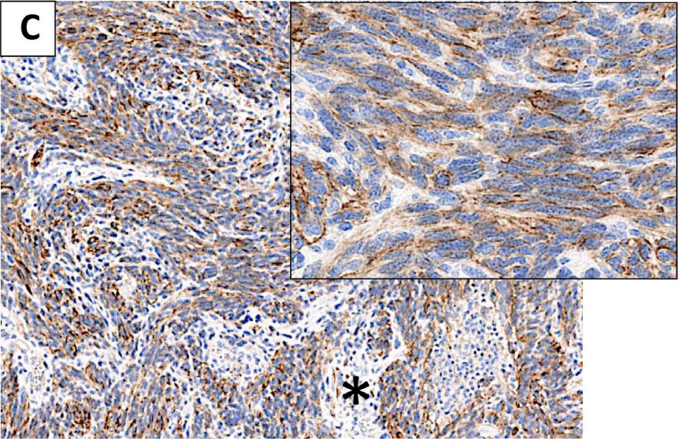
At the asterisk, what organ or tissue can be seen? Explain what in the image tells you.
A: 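The asterisk lies in a pale, loose area between cell nests. The area has few scattered nuclei and little brown stain.
Conclusion: stromal tissue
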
